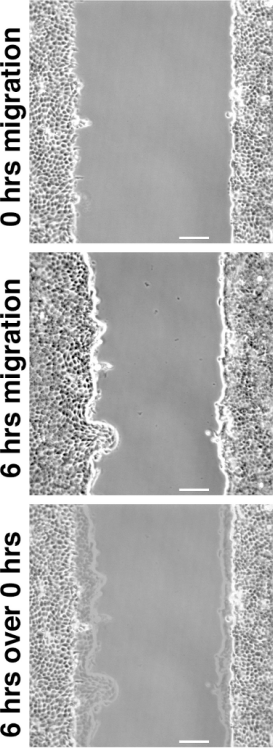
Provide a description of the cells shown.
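Phase-contrast view of two confluent epithelial sheets facing each other across a cell-free gap. In each sheet the small, closely packed polygonal cells form a continuous cobblestone layer. In the middle and bottom images the left-hand sheet has a more irregular leading edge, with rounded protrusions of cells pushing out into the gap. The gap itself contains no cells and looks uniformly grey.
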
